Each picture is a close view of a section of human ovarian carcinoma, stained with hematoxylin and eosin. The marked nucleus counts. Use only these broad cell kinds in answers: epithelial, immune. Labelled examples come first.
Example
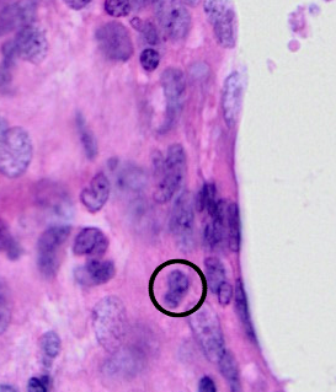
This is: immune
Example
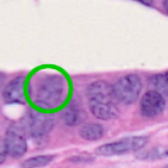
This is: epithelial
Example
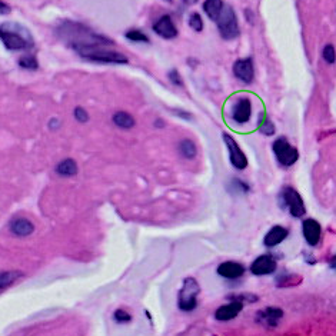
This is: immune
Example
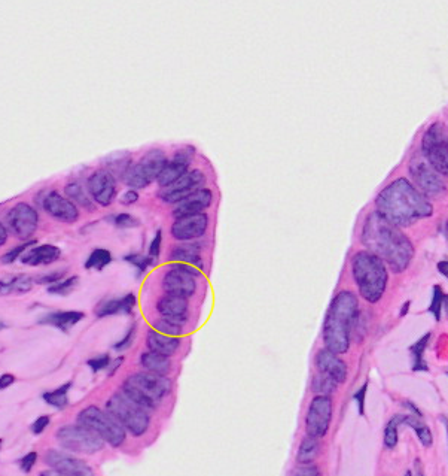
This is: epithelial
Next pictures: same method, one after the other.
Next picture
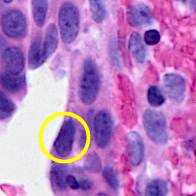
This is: epithelial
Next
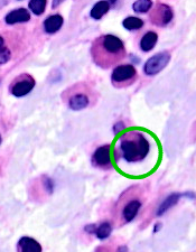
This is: immune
